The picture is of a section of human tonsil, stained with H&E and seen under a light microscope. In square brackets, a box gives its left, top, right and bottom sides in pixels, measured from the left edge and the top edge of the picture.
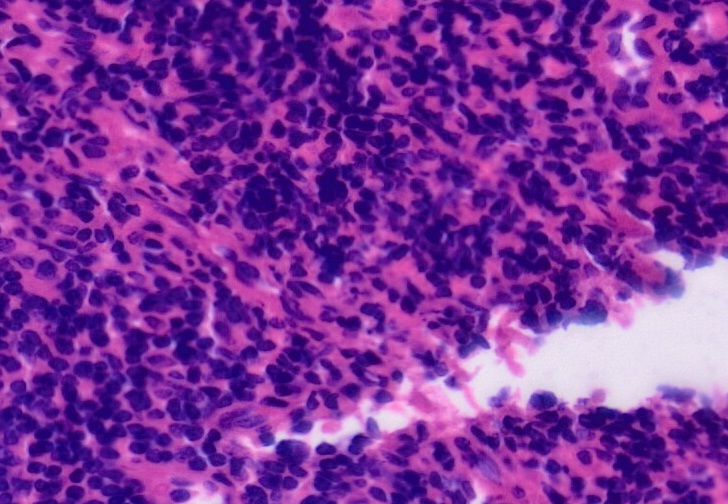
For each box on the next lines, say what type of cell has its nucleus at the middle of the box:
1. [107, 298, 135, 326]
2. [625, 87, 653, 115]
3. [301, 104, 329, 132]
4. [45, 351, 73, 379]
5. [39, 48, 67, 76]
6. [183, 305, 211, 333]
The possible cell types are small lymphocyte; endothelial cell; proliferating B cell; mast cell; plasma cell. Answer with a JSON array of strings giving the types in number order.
["small lymphocyte", "endothelial cell", "small lymphocyte", "small lymphocyte", "endothelial cell", "small lymphocyte"]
